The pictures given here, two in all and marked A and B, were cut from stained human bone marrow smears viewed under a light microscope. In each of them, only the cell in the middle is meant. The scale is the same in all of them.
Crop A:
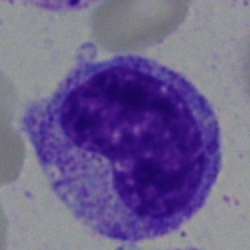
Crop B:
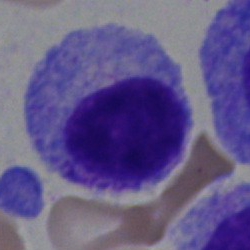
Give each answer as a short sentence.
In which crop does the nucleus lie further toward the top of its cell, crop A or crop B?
The nucleus in crop A lies further toward the top of its cell.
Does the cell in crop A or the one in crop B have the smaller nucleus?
Crop B shows the smaller nucleus, since that in crop A covers about 1.5 times as much area.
